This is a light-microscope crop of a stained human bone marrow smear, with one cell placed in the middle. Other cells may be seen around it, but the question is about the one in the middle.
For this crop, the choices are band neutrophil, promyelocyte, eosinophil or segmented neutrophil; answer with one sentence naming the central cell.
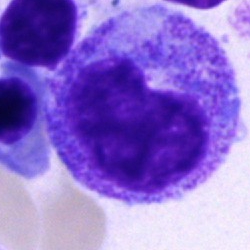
By type, the central cell of the crop is a promyelocyte.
